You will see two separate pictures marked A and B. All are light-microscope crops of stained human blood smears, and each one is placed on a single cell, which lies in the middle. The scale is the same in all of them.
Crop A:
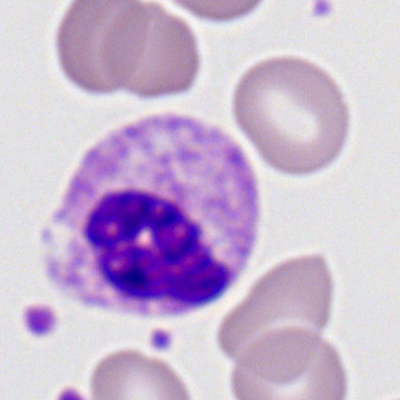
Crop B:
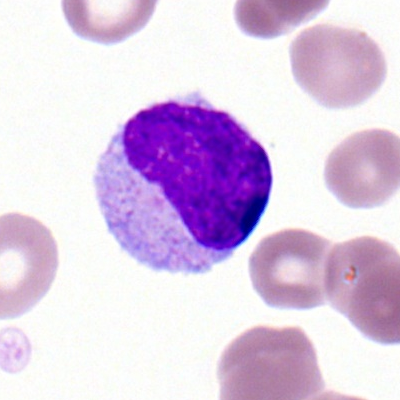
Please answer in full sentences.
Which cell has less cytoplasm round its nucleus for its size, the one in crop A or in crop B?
It is the cell in crop B that is filled more by its nucleus.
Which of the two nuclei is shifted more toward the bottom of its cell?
It is the nucleus in crop A that lies further toward the bottom of its cell.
